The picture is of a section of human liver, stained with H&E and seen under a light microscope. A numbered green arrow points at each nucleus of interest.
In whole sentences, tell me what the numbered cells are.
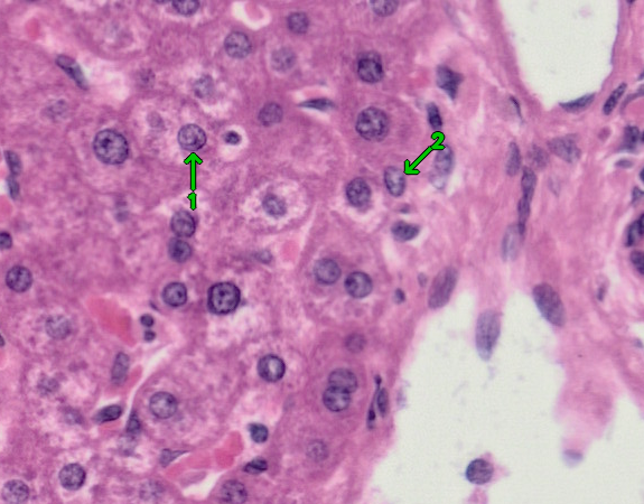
Cell 1 is a hepatocyte. Cell 2 is a cholangiocyte.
